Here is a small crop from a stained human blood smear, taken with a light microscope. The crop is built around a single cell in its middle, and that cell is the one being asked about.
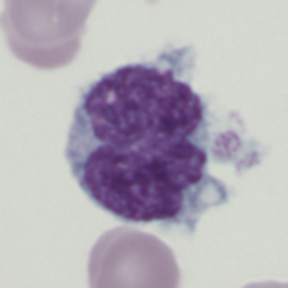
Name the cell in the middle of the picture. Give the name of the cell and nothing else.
monocyte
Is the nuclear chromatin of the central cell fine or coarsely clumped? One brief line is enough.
The chromatin of this one is coarsely clumped.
